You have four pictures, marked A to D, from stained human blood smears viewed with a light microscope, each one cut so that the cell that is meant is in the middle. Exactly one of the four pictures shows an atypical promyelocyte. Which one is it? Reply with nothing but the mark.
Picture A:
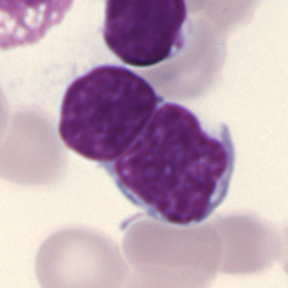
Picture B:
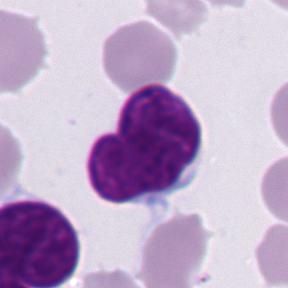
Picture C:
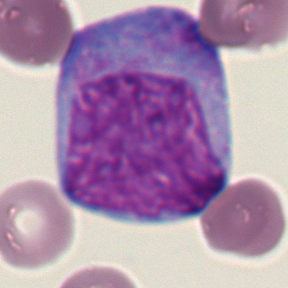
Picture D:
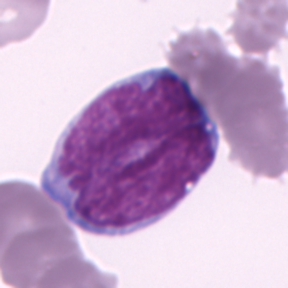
C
